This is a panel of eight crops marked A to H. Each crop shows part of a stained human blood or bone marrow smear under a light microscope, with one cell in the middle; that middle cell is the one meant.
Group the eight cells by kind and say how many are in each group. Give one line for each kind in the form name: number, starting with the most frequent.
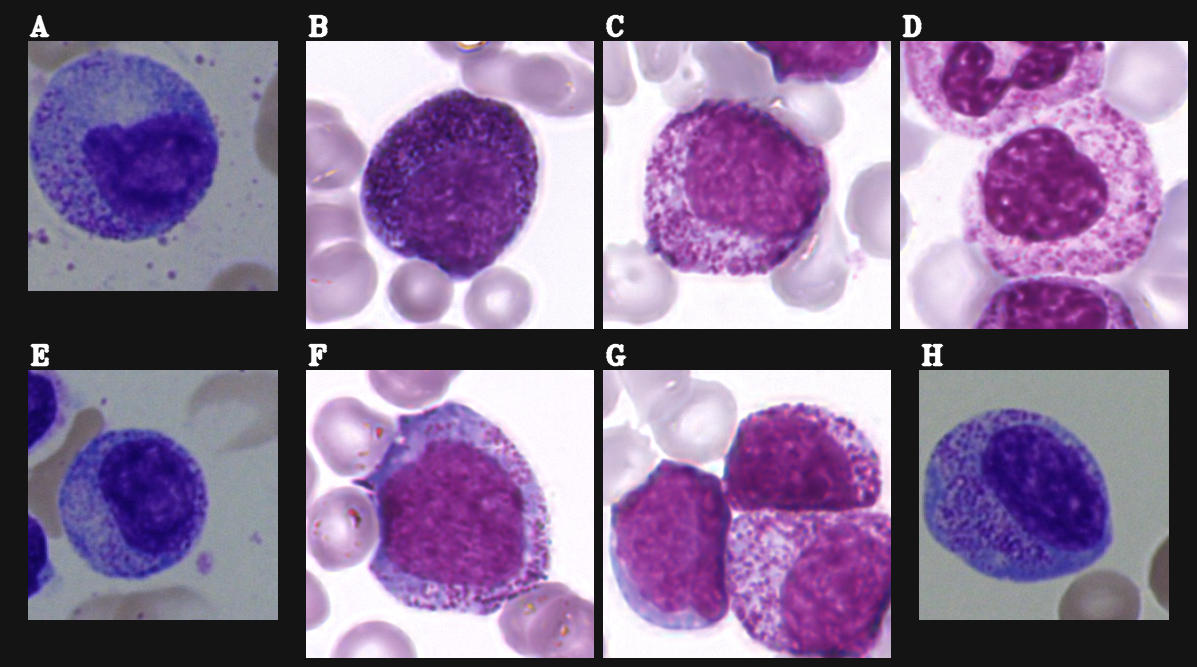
myelocyte: 5
promyelocyte: 3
